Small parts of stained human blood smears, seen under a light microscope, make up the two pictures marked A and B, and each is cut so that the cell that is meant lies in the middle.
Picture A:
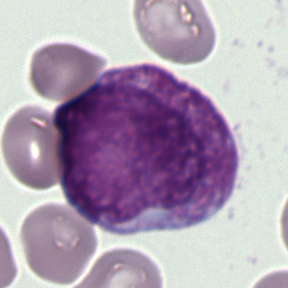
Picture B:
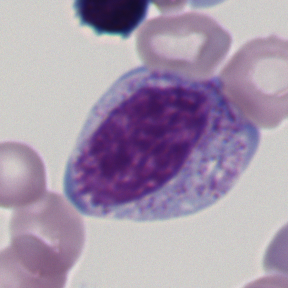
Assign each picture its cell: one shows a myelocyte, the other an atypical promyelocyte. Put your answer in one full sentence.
In picture A the cell is an atypical promyelocyte; in picture B, a myelocyte.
